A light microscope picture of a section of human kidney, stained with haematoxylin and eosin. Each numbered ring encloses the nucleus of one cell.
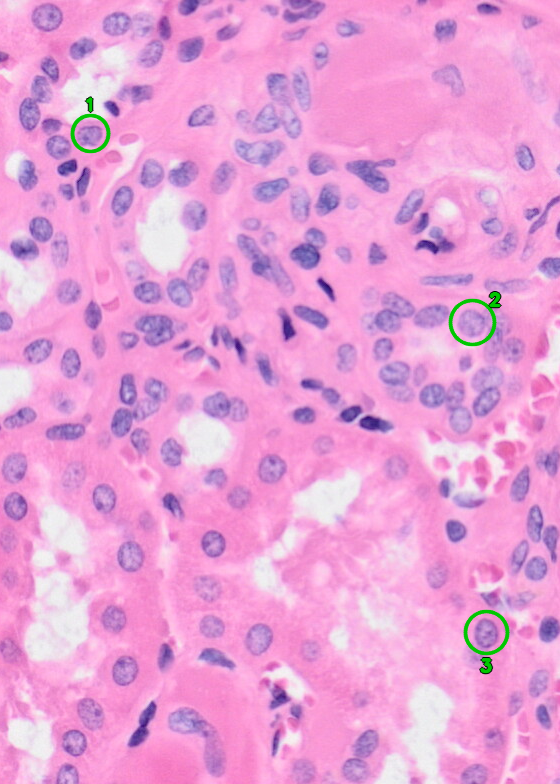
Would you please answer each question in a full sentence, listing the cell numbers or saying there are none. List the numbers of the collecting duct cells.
The cells whose numbers are 1 and 2 are collecting duct cells.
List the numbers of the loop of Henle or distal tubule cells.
Not one numbered cell here is one of the loop of Henle or distal tubule cells.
